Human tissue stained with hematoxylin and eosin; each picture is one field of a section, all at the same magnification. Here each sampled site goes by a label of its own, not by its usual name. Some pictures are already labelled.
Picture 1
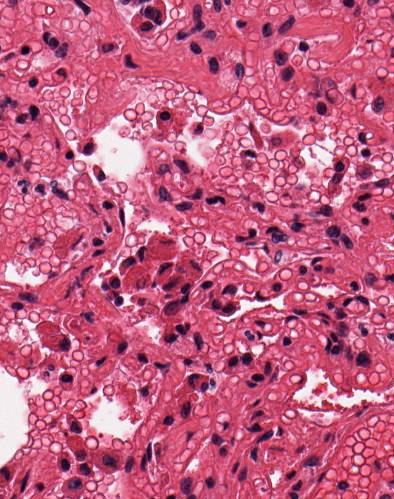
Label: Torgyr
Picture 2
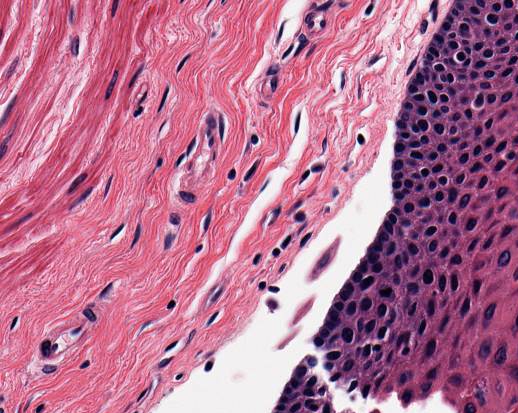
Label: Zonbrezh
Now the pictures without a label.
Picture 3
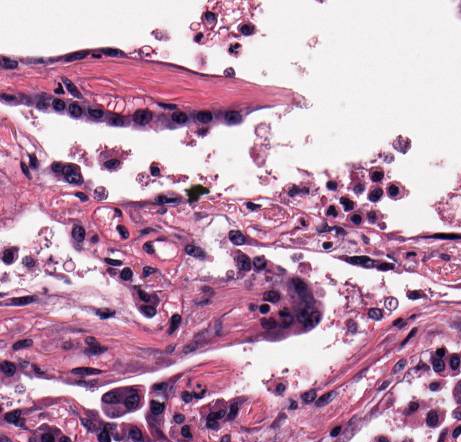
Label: Torgyr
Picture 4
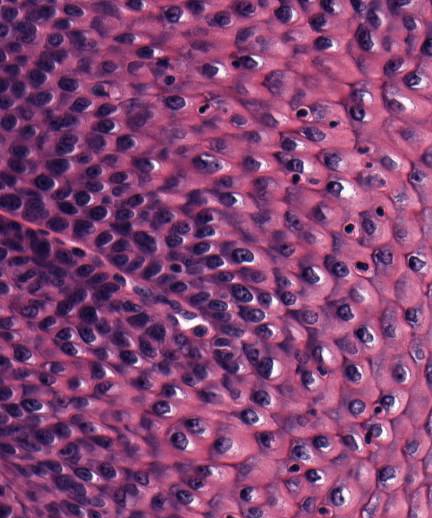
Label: Zonbrezh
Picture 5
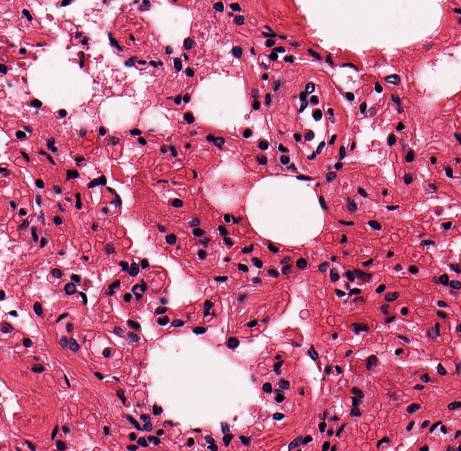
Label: Torgyr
